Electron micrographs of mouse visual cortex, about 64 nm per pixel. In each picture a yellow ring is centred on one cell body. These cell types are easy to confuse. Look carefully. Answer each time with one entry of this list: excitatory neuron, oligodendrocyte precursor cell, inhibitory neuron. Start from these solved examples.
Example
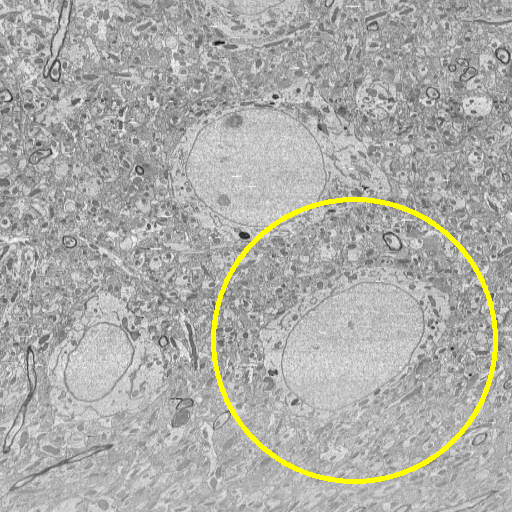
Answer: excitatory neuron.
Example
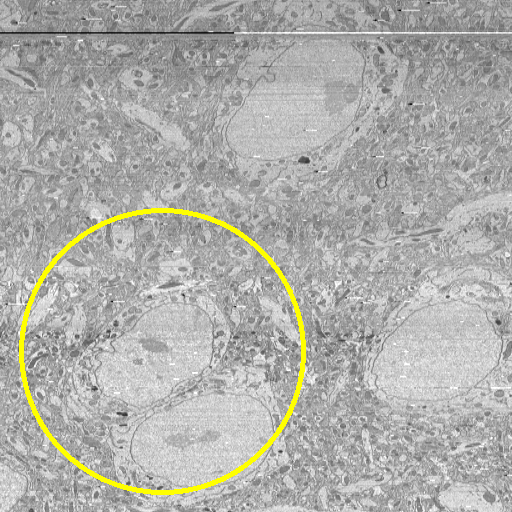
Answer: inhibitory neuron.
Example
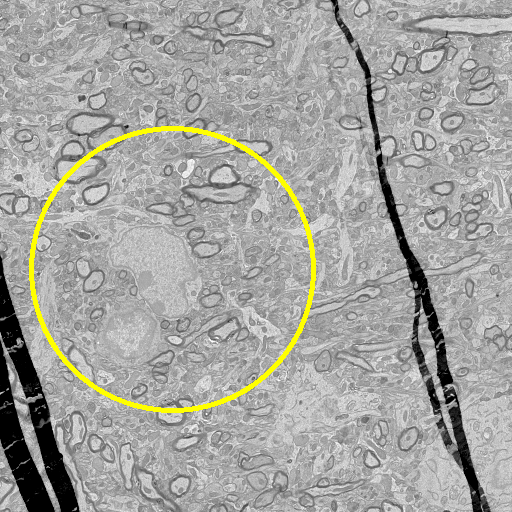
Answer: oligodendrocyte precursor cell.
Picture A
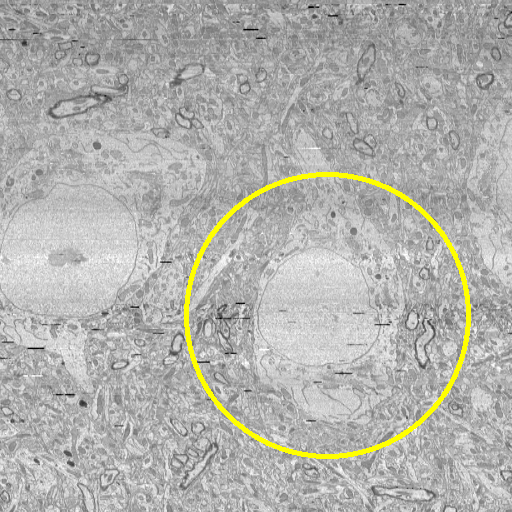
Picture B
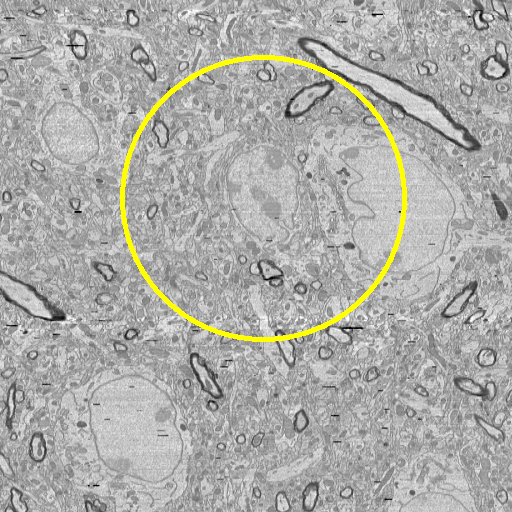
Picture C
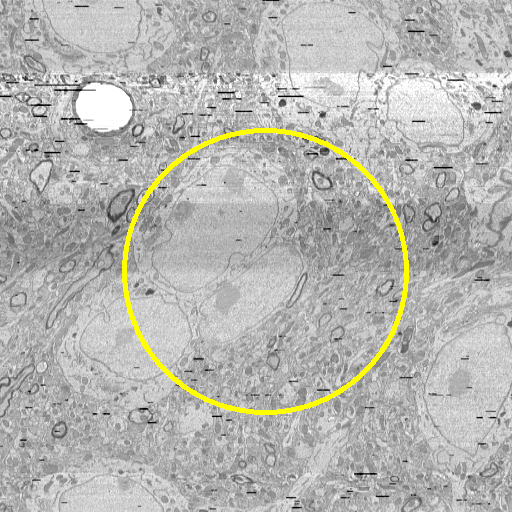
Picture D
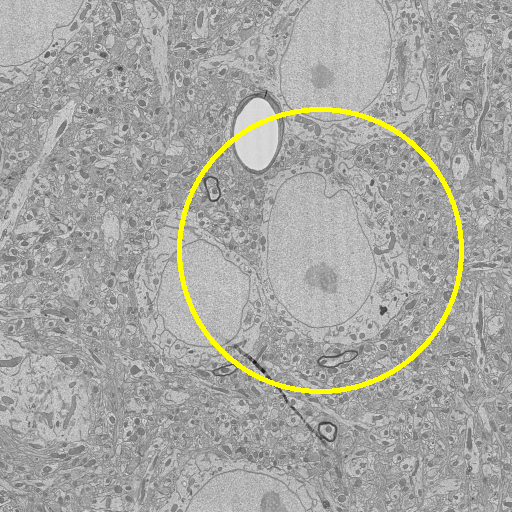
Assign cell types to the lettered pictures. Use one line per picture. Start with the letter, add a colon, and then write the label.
A: excitatory neuron.
B: oligodendrocyte precursor cell.
C: oligodendrocyte precursor cell.
D: excitatory neuron.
